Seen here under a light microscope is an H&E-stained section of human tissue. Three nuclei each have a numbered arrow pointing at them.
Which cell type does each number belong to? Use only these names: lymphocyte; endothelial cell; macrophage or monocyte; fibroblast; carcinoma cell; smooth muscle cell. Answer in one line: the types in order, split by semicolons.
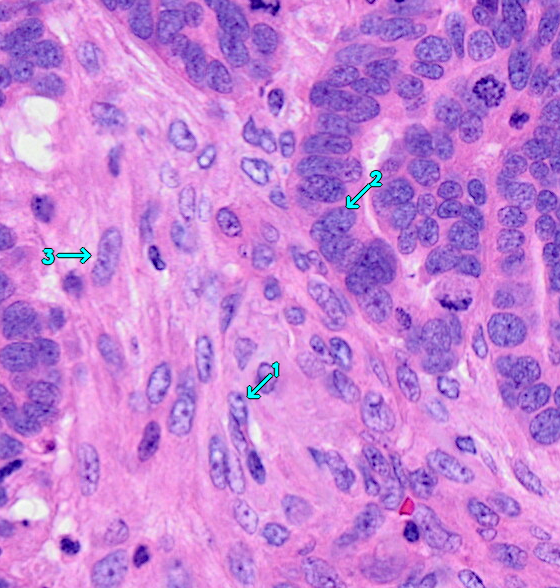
fibroblast; carcinoma cell; fibroblast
